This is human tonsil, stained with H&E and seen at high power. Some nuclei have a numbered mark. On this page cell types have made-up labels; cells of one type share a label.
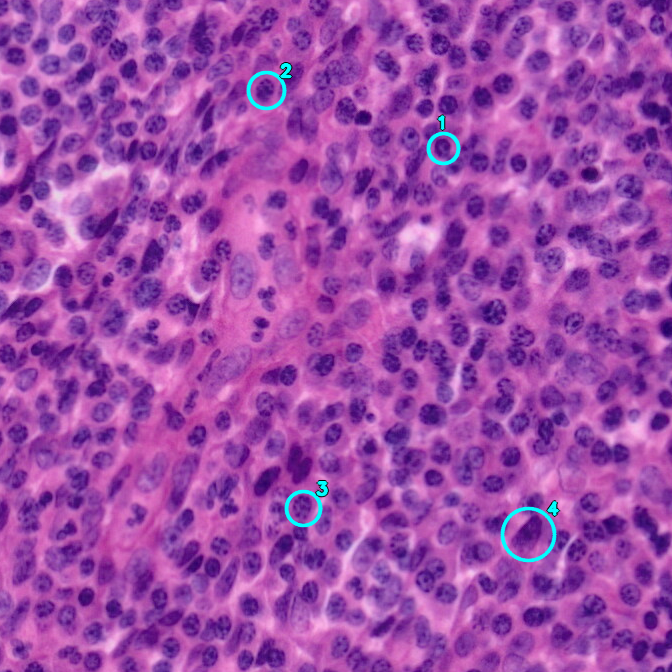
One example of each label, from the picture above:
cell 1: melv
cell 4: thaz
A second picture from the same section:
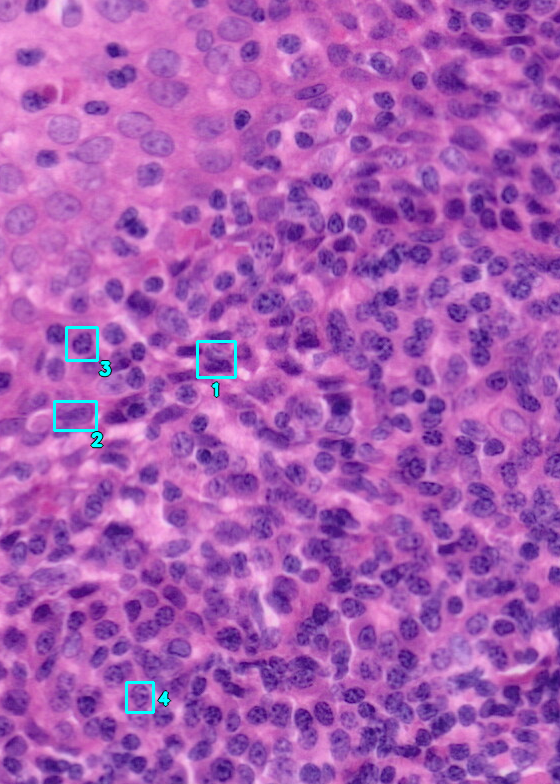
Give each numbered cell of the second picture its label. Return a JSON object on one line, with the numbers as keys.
{"1": "thaz", "2": "thaz", "3": "melv", "4": "melv"}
